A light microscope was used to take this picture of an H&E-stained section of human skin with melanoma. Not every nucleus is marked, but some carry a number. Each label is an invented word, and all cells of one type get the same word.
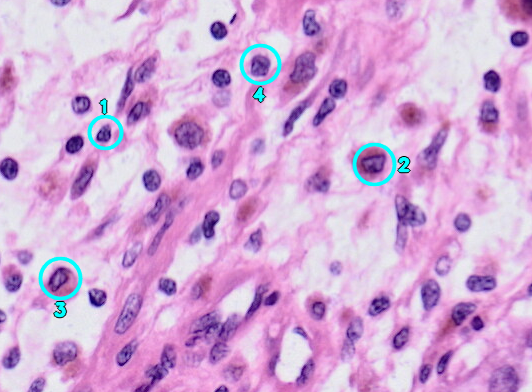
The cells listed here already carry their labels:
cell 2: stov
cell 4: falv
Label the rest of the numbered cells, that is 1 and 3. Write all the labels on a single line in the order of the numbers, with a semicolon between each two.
falv; stov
